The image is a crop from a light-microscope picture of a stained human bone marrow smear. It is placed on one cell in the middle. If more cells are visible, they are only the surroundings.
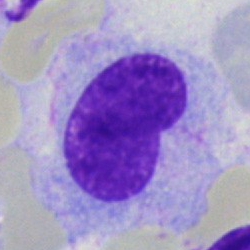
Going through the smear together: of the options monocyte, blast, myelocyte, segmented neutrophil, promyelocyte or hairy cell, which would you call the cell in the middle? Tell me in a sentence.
The cell of interest, in the center, is a hairy cell.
